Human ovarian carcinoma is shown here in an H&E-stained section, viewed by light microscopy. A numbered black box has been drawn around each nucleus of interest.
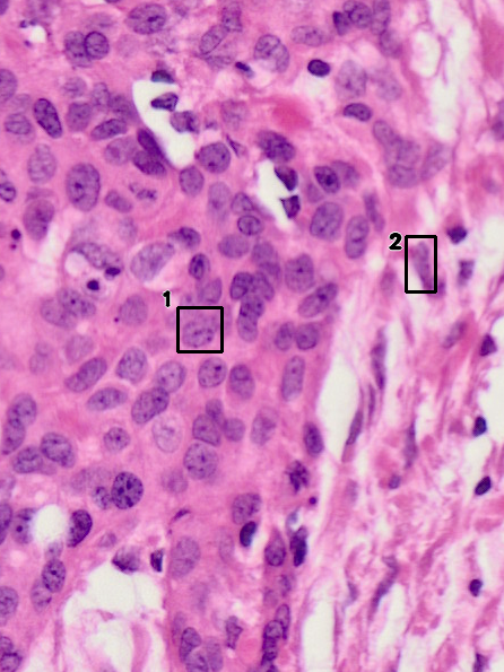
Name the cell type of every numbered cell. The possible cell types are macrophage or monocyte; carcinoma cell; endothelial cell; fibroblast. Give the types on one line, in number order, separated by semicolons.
carcinoma cell; fibroblast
